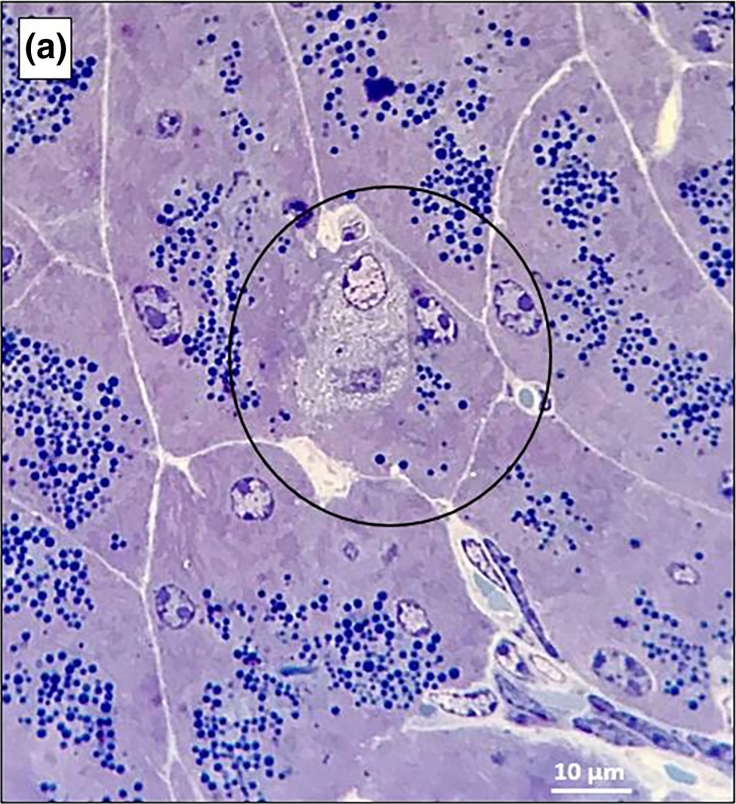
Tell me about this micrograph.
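A semi-thin section of pancreas shows exocrine cells whose cytoplasm is filled with clusters of dark blue round granules, with round nuclei and prominent nucleoli. In the middle, a pale cell with finely vacuolated, lightly stained cytoplasm and few granules lies among the exocrine cells, forming a small cluster outside any islet. Neighbouring cells next to it contain fewer, scattered dark granules. Thin pale septa and small capillaries run between the cells.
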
